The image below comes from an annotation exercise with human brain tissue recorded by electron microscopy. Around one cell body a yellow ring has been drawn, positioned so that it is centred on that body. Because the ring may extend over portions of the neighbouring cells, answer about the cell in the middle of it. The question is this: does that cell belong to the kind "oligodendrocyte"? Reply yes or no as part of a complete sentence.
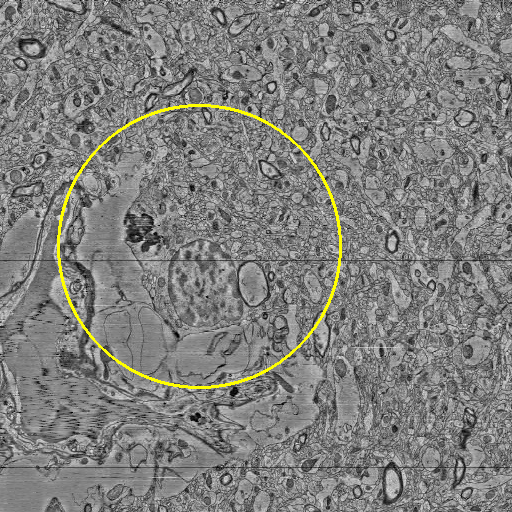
Yes, in the image the cell in the middle of the ring is of the kind asked about.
